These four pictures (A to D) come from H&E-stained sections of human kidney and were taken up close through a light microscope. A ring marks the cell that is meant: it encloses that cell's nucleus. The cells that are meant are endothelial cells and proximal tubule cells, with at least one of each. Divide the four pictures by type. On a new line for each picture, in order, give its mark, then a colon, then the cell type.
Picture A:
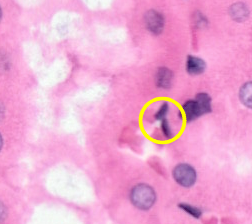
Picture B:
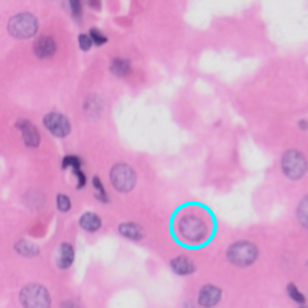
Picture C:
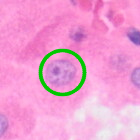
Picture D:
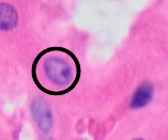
A: endothelial cell
B: proximal tubule cell
C: proximal tubule cell
D: proximal tubule cell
